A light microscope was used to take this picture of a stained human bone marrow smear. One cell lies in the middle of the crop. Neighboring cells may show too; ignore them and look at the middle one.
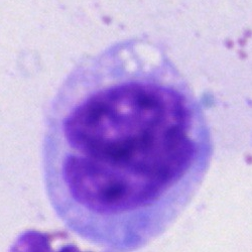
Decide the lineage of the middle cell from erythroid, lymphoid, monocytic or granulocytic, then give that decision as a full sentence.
It is to the monocytic lineage that the middle cell belongs.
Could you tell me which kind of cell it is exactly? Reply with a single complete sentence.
The crop's centre is taken up by a monocyte.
